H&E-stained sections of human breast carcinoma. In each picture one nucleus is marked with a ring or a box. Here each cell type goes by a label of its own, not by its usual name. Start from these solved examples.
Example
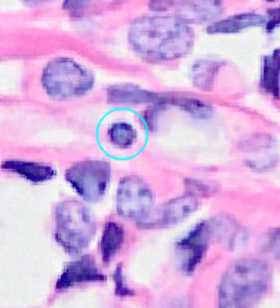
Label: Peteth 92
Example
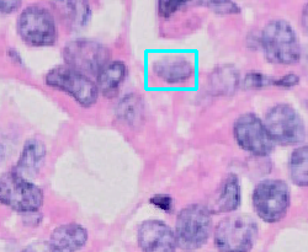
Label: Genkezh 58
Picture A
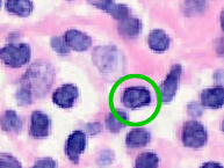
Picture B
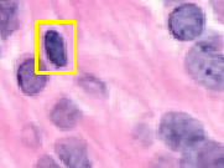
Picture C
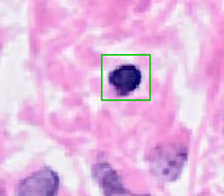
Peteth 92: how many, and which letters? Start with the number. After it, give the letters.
3, namely A, B, C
